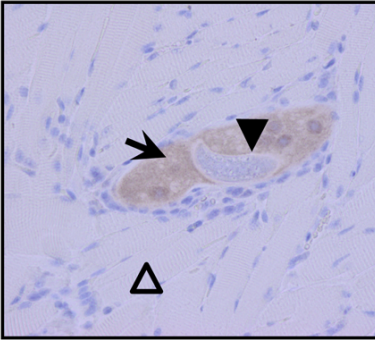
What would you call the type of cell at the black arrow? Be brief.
Nurse cells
